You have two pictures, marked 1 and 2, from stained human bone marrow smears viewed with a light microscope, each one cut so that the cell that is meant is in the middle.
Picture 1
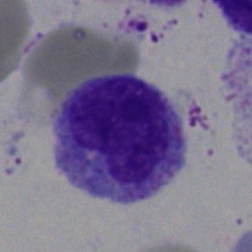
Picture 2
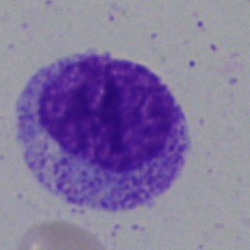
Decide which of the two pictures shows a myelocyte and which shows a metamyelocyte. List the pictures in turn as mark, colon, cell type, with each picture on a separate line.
1: metamyelocyte
2: myelocyte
